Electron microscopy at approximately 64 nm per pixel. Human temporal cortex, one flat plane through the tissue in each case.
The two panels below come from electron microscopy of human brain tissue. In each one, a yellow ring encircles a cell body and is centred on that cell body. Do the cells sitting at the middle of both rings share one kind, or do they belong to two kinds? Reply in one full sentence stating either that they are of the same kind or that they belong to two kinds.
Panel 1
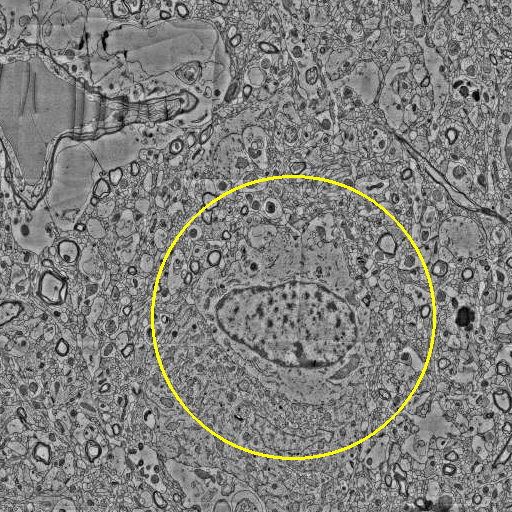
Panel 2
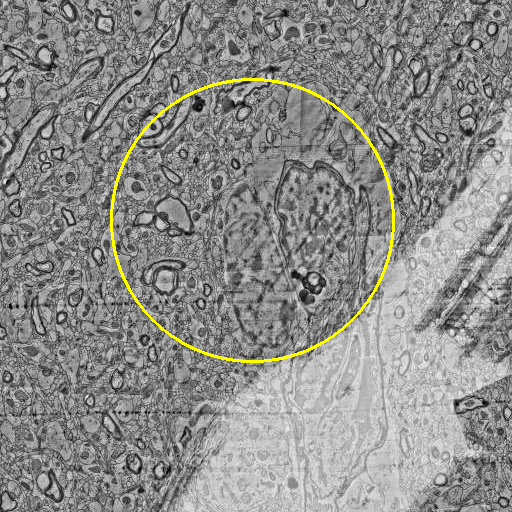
The cells at the centres of the two rings are of the same kind.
